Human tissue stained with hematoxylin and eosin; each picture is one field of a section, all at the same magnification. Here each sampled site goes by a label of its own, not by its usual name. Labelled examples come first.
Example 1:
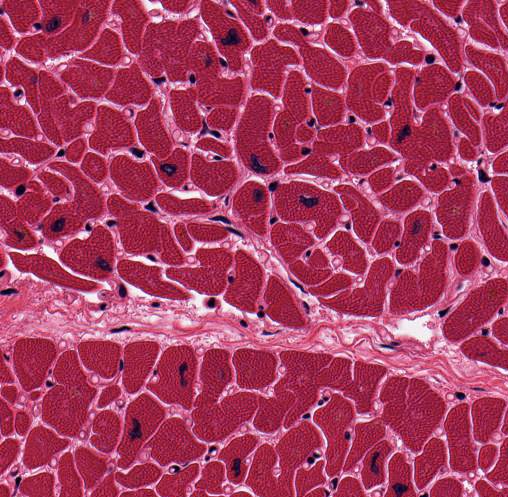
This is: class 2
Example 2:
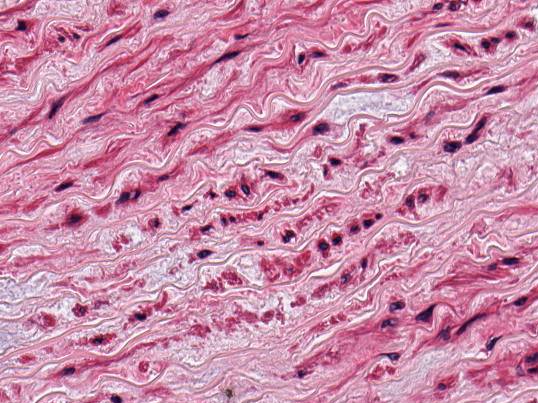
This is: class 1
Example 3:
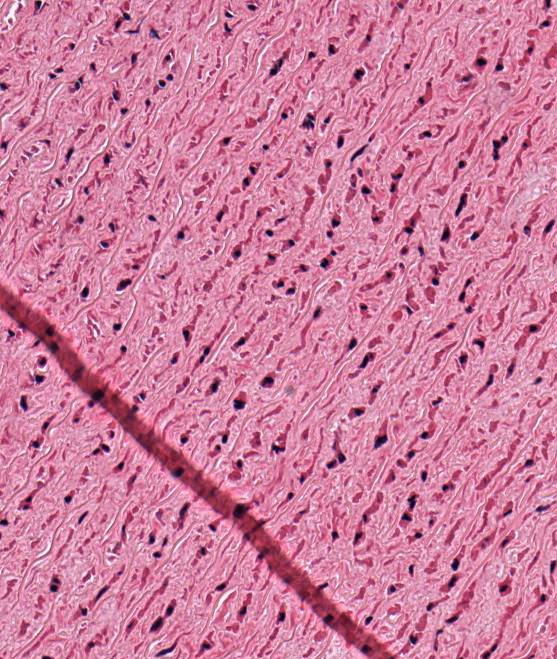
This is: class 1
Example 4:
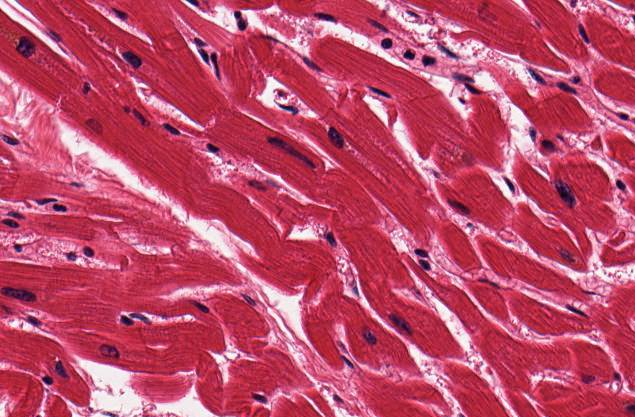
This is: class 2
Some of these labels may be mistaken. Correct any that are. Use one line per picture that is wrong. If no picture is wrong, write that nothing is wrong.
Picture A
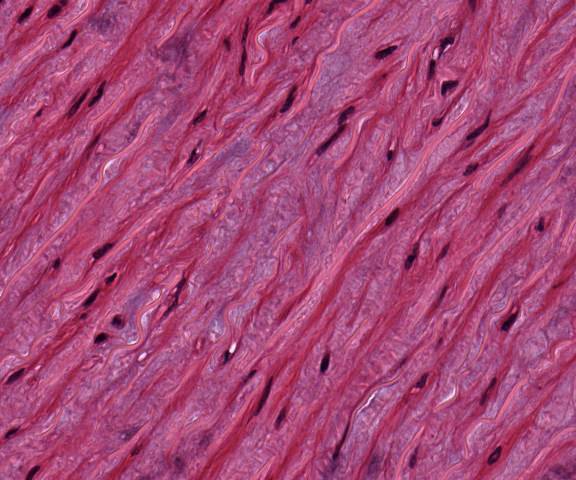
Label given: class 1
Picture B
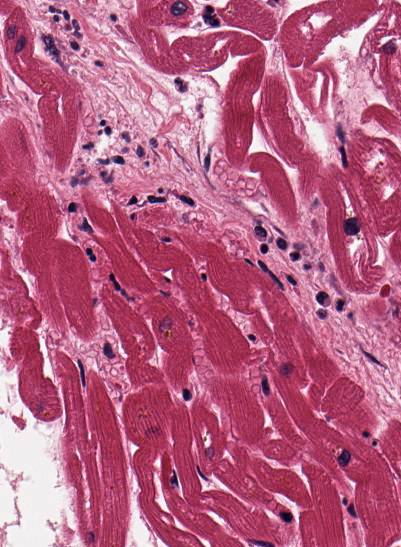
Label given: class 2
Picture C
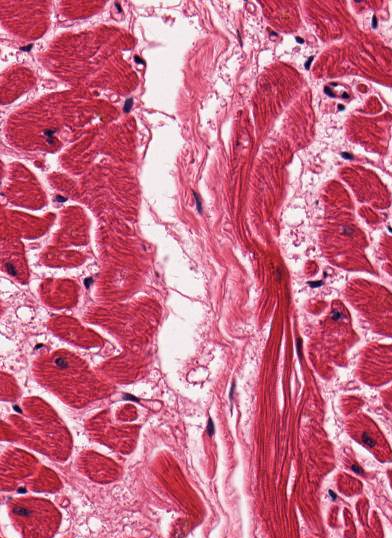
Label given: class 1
C is labelled class 1; correct label: class 2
